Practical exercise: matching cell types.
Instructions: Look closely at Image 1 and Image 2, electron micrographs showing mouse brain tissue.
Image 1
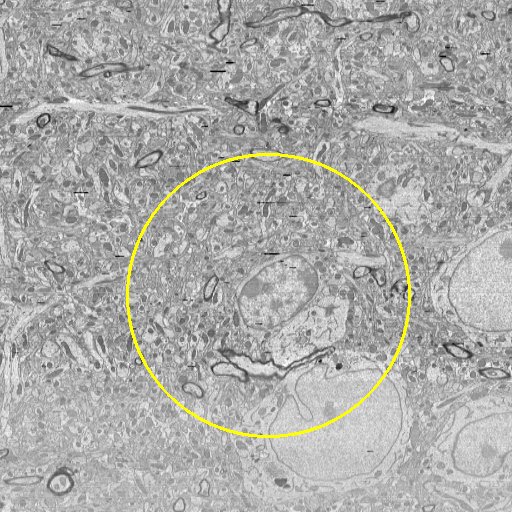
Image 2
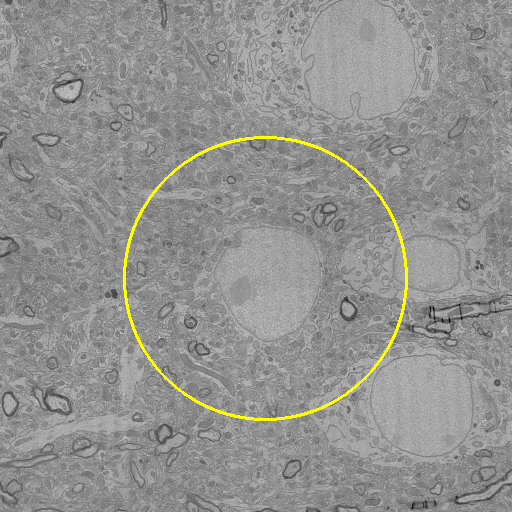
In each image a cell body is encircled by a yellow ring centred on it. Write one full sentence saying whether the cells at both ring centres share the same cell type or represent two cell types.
Across Image 1 and Image 2, the cells at the ring centres represent two cell types.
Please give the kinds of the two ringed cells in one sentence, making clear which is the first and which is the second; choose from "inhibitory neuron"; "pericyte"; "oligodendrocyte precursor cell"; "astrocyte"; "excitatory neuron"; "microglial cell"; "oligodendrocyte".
In the second picture the ringed cell is an astrocyte; in the first it is an oligodendrocyte.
